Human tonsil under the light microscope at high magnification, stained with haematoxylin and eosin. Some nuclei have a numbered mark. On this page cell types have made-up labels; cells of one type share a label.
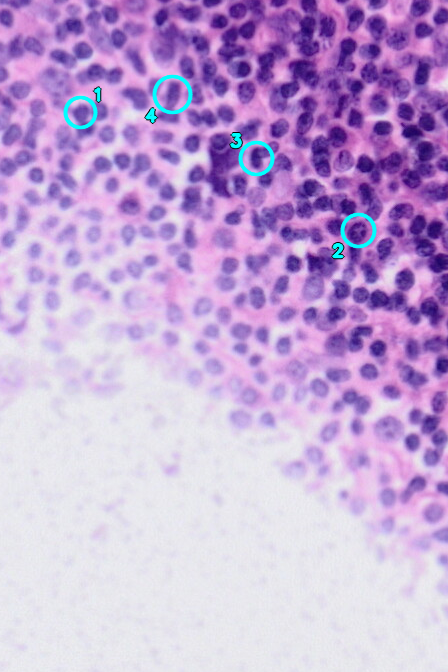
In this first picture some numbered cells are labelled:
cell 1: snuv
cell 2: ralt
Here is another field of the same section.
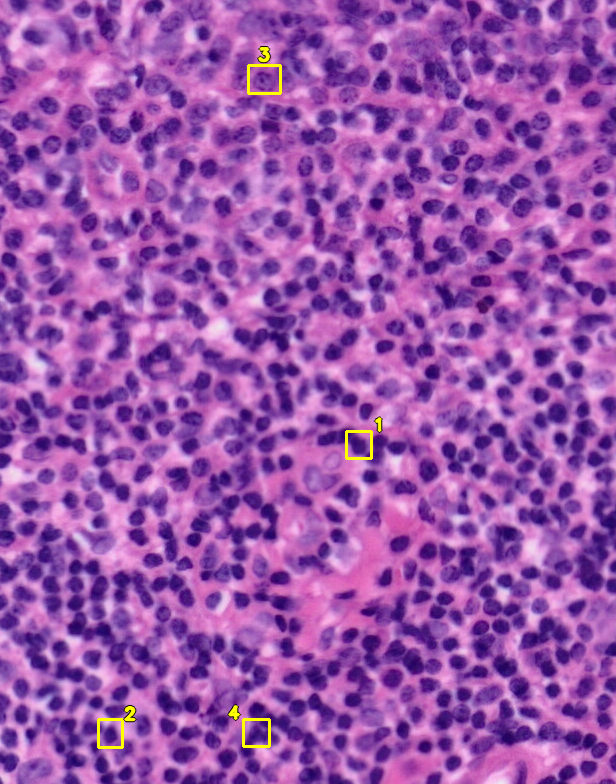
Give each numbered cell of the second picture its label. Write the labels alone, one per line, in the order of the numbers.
snuv
snuv
ralt
snuv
